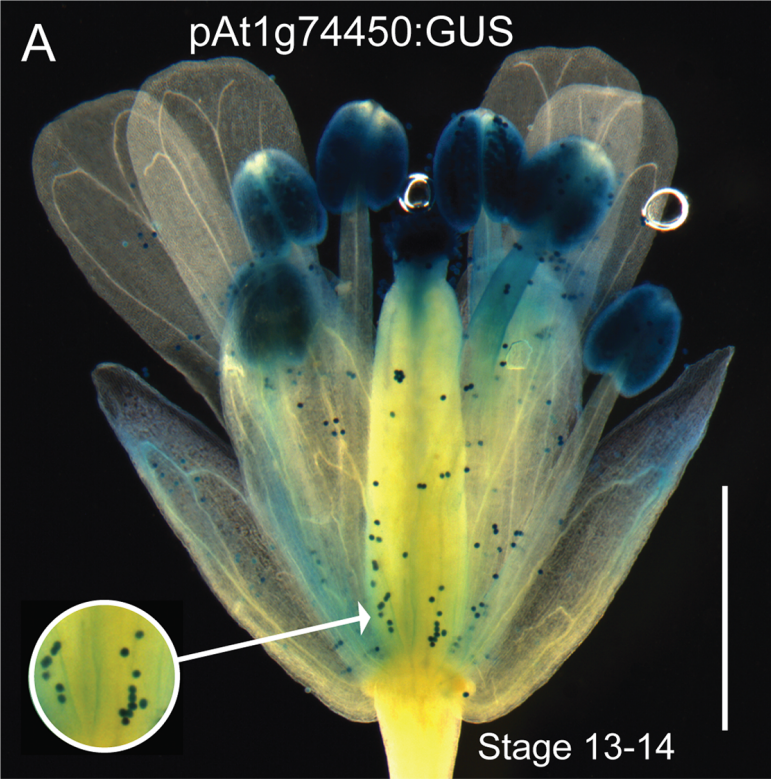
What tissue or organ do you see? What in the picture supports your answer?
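Translucent veined sepals and petals surround the centre. Stalked anthers stand around a central elongated pistil. A stalk is at the base. That points to this answer: Flower.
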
